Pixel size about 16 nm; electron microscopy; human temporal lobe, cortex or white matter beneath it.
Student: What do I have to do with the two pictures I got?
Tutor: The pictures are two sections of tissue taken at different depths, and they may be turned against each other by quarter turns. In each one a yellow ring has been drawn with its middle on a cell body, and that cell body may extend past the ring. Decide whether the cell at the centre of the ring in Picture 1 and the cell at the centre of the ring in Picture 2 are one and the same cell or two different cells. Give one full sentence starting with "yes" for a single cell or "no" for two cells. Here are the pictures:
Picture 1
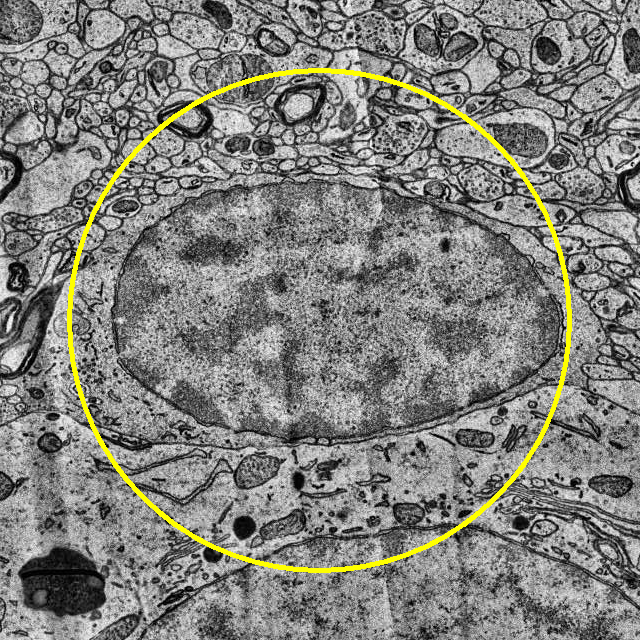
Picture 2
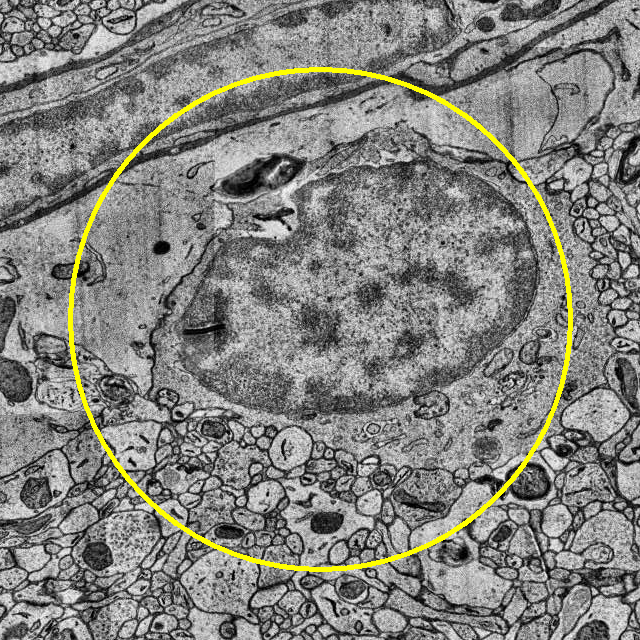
No, the two rings indicate two different cells, not one.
